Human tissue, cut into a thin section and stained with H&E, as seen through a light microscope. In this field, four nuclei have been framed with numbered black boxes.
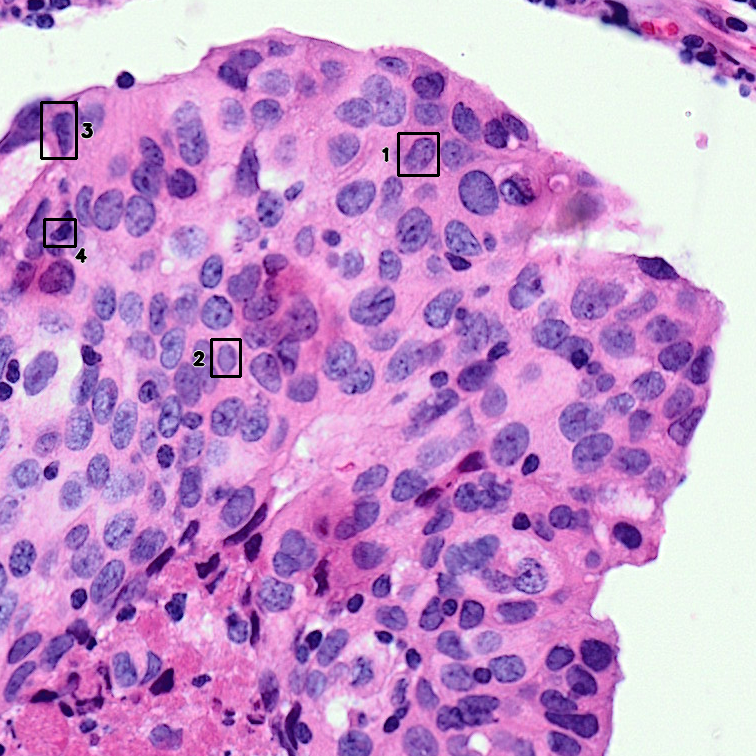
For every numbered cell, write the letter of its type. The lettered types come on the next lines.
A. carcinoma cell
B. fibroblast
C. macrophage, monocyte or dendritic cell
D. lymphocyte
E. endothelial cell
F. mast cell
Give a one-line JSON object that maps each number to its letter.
{"1": "A", "2": "A", "3": "A", "4": "D"}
